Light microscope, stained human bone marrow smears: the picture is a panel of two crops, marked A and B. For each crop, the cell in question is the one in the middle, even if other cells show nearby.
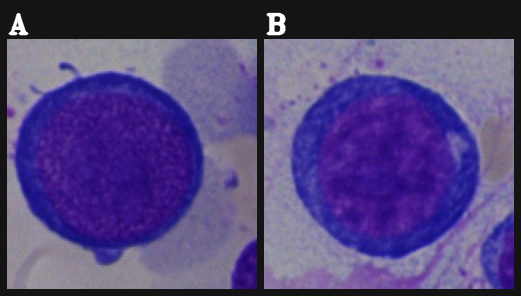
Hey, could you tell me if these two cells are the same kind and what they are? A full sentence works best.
Yes, the pair of crops both show proerythroblasts.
